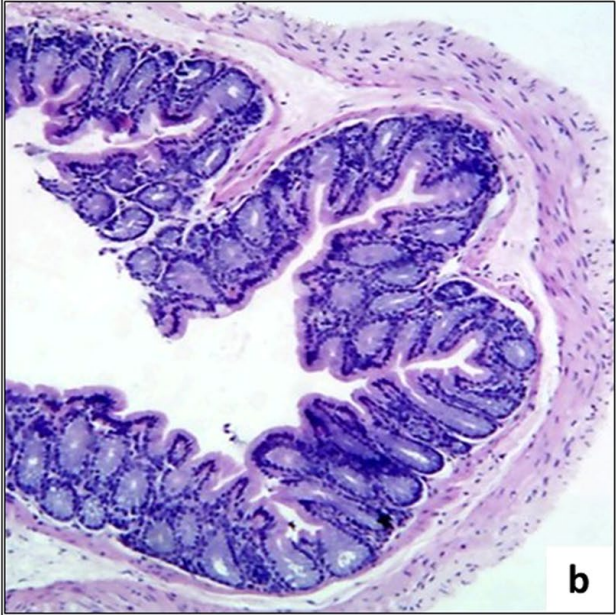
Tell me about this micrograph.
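A cross-section of a piece of colon wall shows the mucosa thrown into broad folds around a central lumen, with many straight tubular glands packed side by side and running perpendicular to the surface. The glands are lined by columnar epithelial cells with dark purple basal nuclei, and many pale, rounded mucous-filled cells lie among them, giving each gland a light centre. Between the glands a narrow lamina propria holds numerous small dark nuclei. Outside the mucosa lies a pale pink band of smooth muscle and connective tissue with scattered elongated nuclei.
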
